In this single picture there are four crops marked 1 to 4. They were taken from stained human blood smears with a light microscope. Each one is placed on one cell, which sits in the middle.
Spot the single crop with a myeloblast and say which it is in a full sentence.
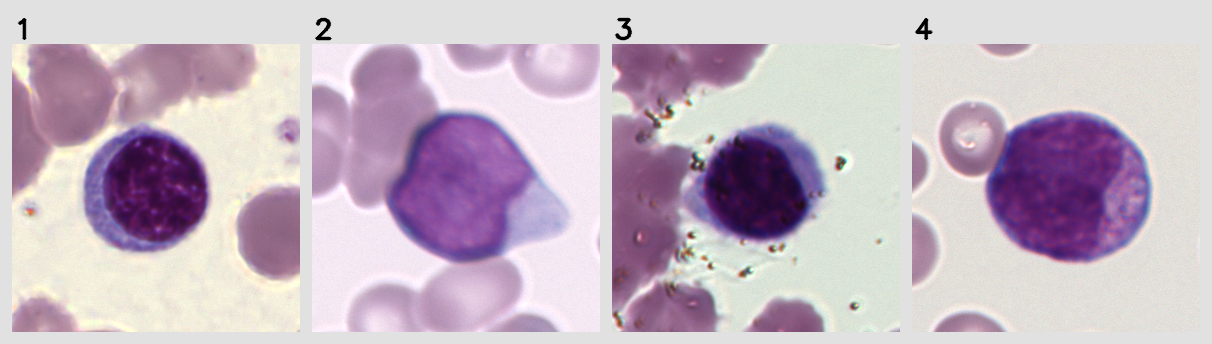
It is in crop 2, among all the crops, that a myeloblast is present.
